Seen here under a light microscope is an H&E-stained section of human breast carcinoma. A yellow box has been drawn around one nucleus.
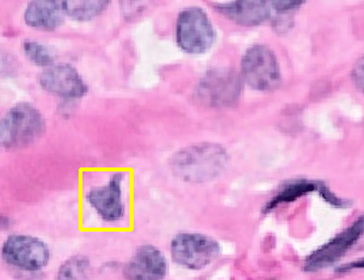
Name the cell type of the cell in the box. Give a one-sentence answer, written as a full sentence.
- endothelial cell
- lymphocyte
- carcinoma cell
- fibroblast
It is a lymphocyte that the cell in the box represents.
